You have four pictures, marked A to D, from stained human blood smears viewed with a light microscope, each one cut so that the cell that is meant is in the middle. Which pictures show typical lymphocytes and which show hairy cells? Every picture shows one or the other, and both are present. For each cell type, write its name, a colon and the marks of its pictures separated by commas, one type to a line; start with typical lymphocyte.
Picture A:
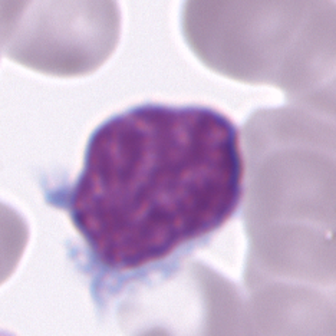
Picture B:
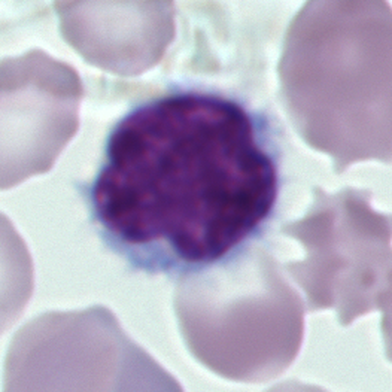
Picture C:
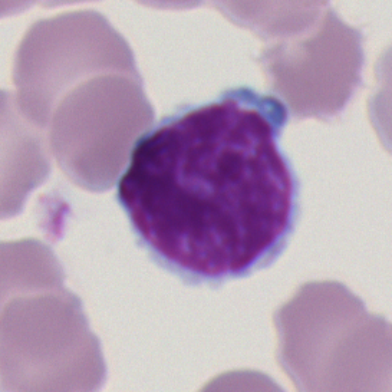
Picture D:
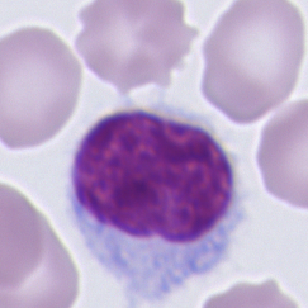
typical lymphocyte: C
hairy cell: A, B, D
